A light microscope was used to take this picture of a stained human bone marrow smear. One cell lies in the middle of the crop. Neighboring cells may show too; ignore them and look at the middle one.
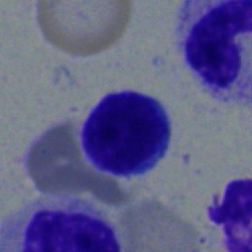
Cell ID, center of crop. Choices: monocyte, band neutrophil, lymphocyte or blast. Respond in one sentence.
The centrally placed cell is classified as a lymphocyte.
